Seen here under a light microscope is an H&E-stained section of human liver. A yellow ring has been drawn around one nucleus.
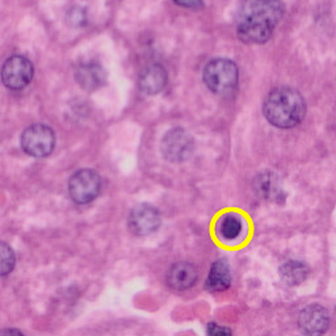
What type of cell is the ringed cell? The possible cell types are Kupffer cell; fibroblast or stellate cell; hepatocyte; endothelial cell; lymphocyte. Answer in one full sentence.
Within the stained tissue, the ringed cell is a lymphocyte.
